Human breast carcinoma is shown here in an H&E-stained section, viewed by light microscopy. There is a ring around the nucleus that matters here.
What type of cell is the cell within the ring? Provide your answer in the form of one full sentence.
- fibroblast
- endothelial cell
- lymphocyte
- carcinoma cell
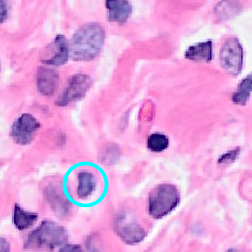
Students should answer that the cell within the ring is a lymphocyte.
